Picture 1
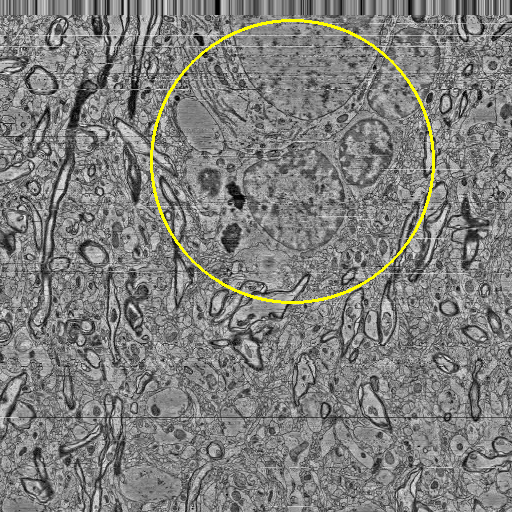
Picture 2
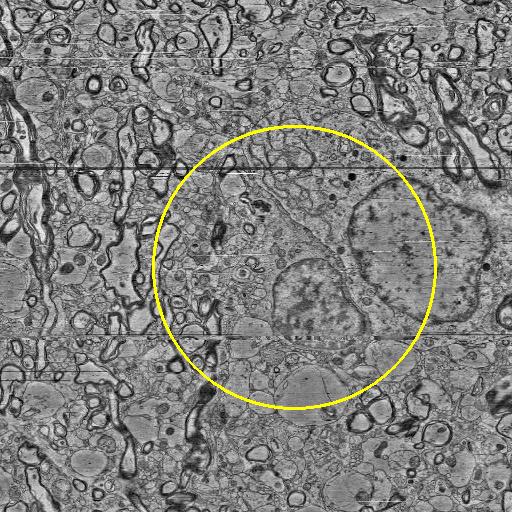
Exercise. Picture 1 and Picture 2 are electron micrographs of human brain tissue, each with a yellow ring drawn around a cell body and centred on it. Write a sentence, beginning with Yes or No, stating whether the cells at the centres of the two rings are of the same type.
Yes, the cells at the centres of both rings are of the same type.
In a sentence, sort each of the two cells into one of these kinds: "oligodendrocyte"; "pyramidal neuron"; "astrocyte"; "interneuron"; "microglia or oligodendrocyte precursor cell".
Each of the ringed cells, first and second, is an oligodendrocyte.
